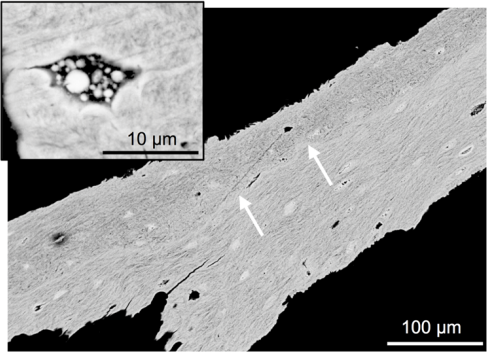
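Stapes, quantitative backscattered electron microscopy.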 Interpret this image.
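A band of bone appears in shades of grey against a black background, with a fine streaky texture and scattered small dark or bright spots marking lacunae. The enlarged inset shows a lacuna packed with small bright spheres.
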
